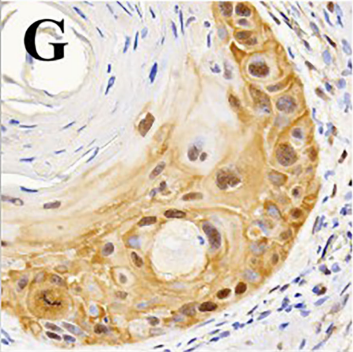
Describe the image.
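Keratinizing invasive squamous neoplasia, showing a tumour nest with a central keratin pearl. At the upper left, concentric pale lamellae of keratin form a whorl that takes little stain. Around it, squamous cells with brown cytoplasm and enlarged round nuclei, several stained brown, form the outer layers of the nest, the staining strongest toward the periphery. Small round keratinized foci with pale centres lie within the nest.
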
